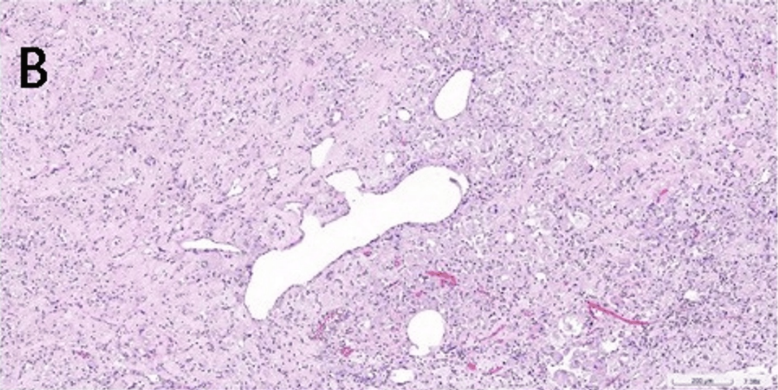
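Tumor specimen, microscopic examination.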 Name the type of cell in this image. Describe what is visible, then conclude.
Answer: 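Cells lie in sheets and nests around open vascular spaces. On this evidence: epithelioid cells.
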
